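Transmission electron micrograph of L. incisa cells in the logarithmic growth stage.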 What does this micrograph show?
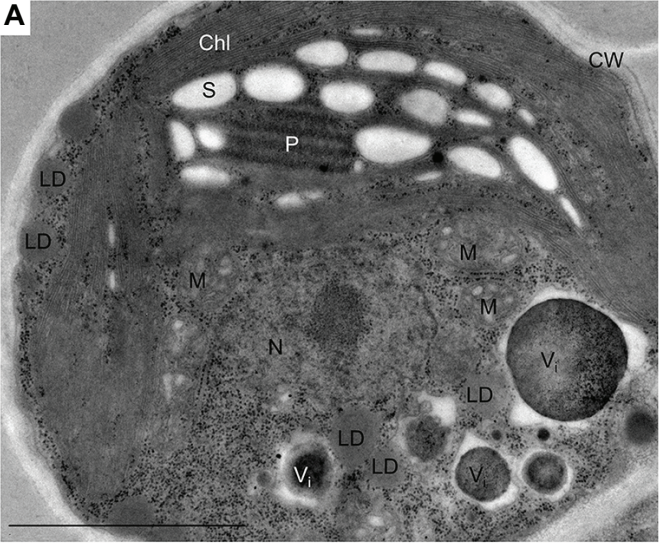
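A single cell is cut in cross-section and framed by a pale, layered cell wall. A large chloroplast of stacked membrane lamellae curves around the upper part and sides of the cell. It holds a dense body crossed by parallel membranes, which is ringed by white oval starch granules. The nucleus lies centrally and contains a darker, denser region. Mitochondria with internal cristae sit near the nucleus. Round, evenly grey lipid droplets lie along the periphery and close to the vacuoles. Several vacuoles hold dense granular inclusions, each set apart from the vacuole edge by a clear rim. The cytoplasm is packed with dark particles.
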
